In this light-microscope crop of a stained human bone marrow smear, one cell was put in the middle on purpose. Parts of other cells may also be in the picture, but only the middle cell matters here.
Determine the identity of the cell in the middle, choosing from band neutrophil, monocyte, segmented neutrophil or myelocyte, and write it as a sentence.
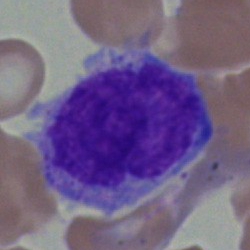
The centrally placed cell is classified as a monocyte.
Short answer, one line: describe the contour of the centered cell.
Its surface contour departs from smoothness through ragged edges or outward projections.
